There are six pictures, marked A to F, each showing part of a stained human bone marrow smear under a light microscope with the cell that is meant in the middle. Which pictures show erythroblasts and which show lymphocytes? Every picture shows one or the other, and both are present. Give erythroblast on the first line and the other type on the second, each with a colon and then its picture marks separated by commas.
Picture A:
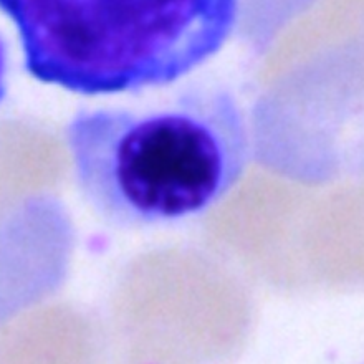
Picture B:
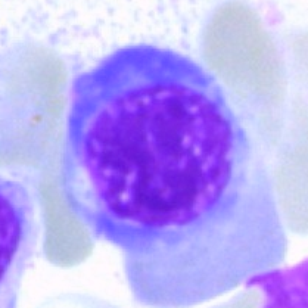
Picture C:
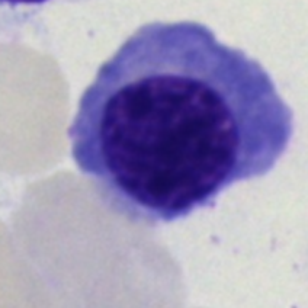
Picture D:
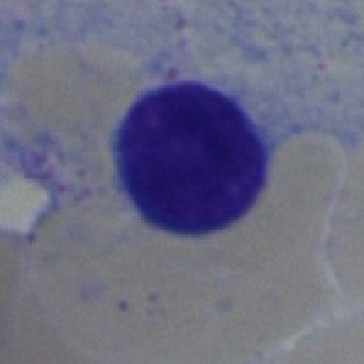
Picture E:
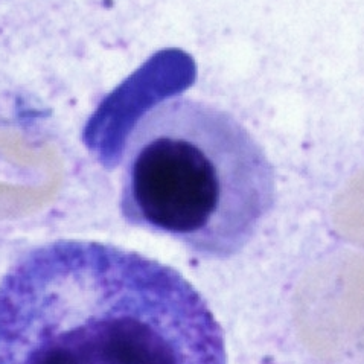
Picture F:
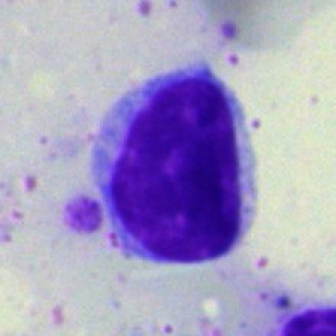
erythroblast: A, B, C, E
lymphocyte: D, F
